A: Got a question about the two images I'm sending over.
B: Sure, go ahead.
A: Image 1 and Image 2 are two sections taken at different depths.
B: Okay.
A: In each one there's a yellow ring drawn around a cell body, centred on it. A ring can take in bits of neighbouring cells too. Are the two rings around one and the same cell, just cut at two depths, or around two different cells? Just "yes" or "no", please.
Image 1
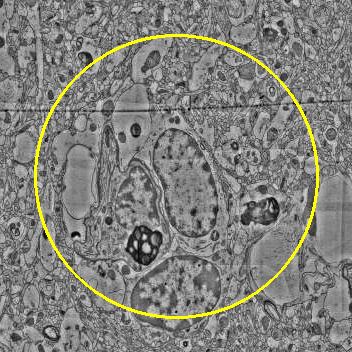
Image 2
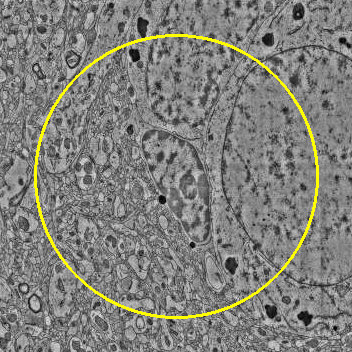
no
